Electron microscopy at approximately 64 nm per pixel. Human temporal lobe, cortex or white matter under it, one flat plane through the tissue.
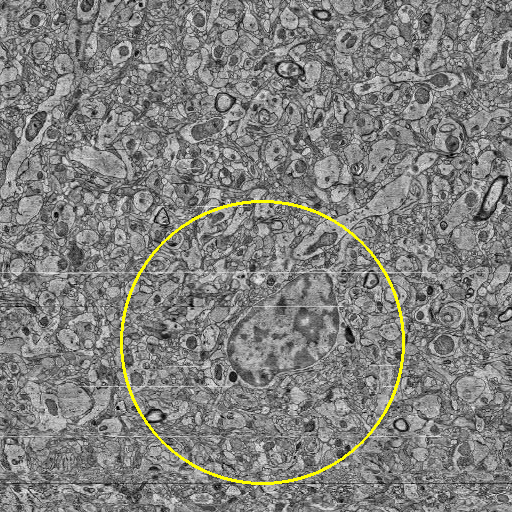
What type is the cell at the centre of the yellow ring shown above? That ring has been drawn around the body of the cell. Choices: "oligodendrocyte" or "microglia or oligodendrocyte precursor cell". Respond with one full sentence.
My answer is that a microglial cell or oligodendrocyte precursor cell lies at the centre of the yellow ring above.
